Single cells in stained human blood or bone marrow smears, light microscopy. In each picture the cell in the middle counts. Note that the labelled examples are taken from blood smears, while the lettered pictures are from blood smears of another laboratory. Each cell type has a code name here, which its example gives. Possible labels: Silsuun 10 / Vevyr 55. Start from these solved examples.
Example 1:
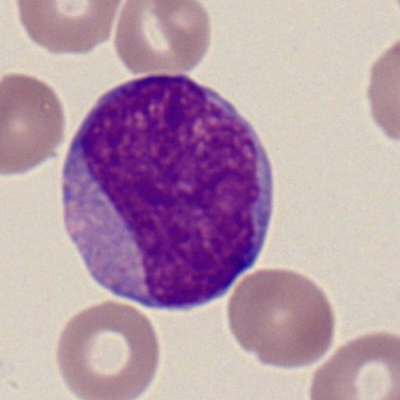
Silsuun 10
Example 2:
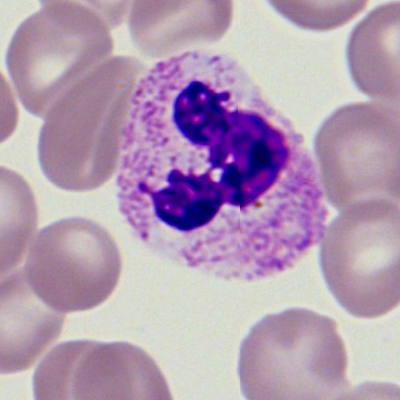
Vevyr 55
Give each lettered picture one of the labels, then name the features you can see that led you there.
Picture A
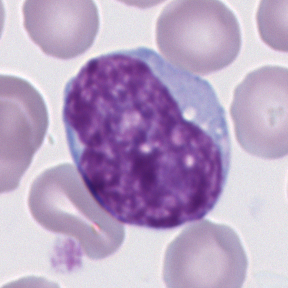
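Silsuun 10. The nucleus has a notch on its right side, giving it a bean-like shape.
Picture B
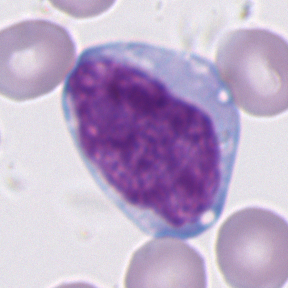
Silsuun 10. The nucleus fills most of the cell and lies toward its left side.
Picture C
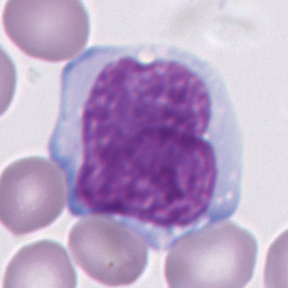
Silsuun 10. The nucleus fills most of the cell.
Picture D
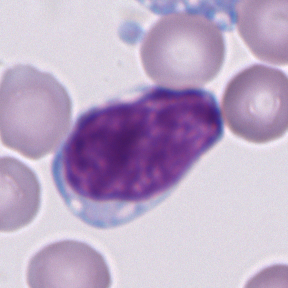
Silsuun 10. The cytoplasm is a thin rim that is widest at the lower-left end of the cell.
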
